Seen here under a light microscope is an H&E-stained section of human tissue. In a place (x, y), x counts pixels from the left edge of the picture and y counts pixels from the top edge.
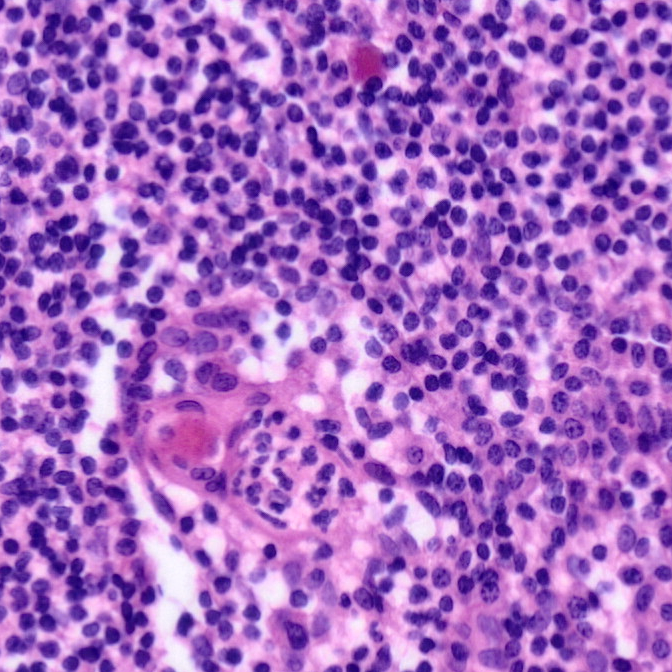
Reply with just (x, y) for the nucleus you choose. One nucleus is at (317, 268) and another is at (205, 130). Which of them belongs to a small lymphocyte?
(205, 130)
